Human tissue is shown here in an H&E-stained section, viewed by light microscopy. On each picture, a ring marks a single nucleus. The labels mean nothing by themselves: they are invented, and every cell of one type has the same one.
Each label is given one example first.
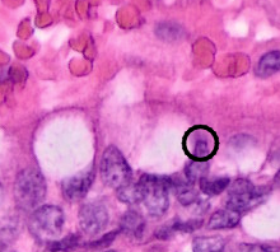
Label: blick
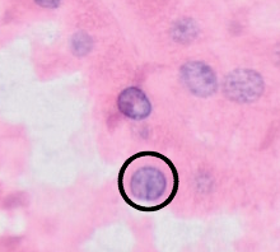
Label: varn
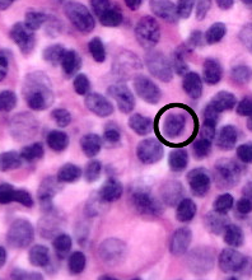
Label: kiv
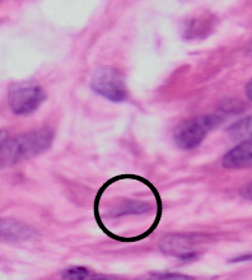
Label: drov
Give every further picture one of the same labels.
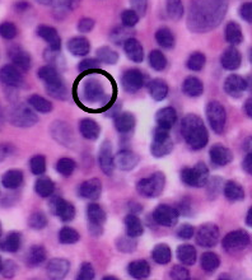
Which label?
kiv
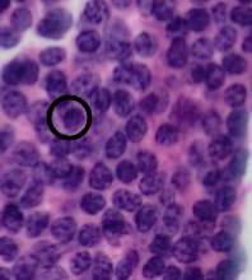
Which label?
kiv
